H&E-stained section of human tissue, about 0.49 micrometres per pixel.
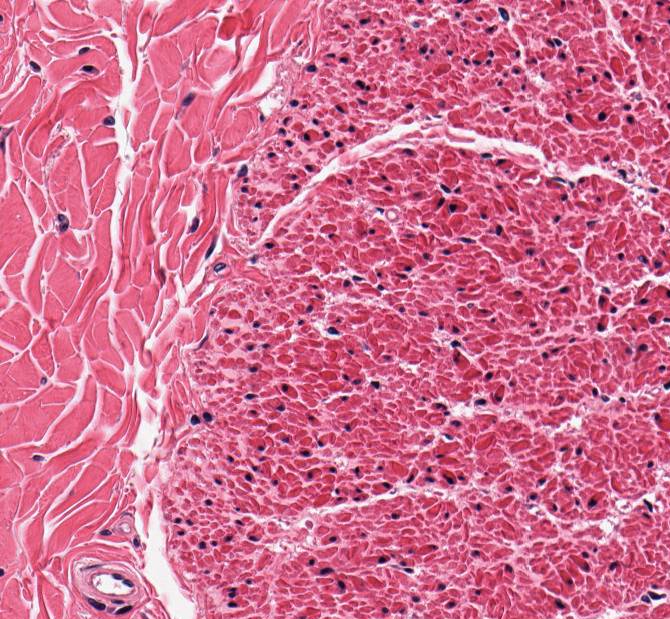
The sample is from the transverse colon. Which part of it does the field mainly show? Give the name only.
smooth muscle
